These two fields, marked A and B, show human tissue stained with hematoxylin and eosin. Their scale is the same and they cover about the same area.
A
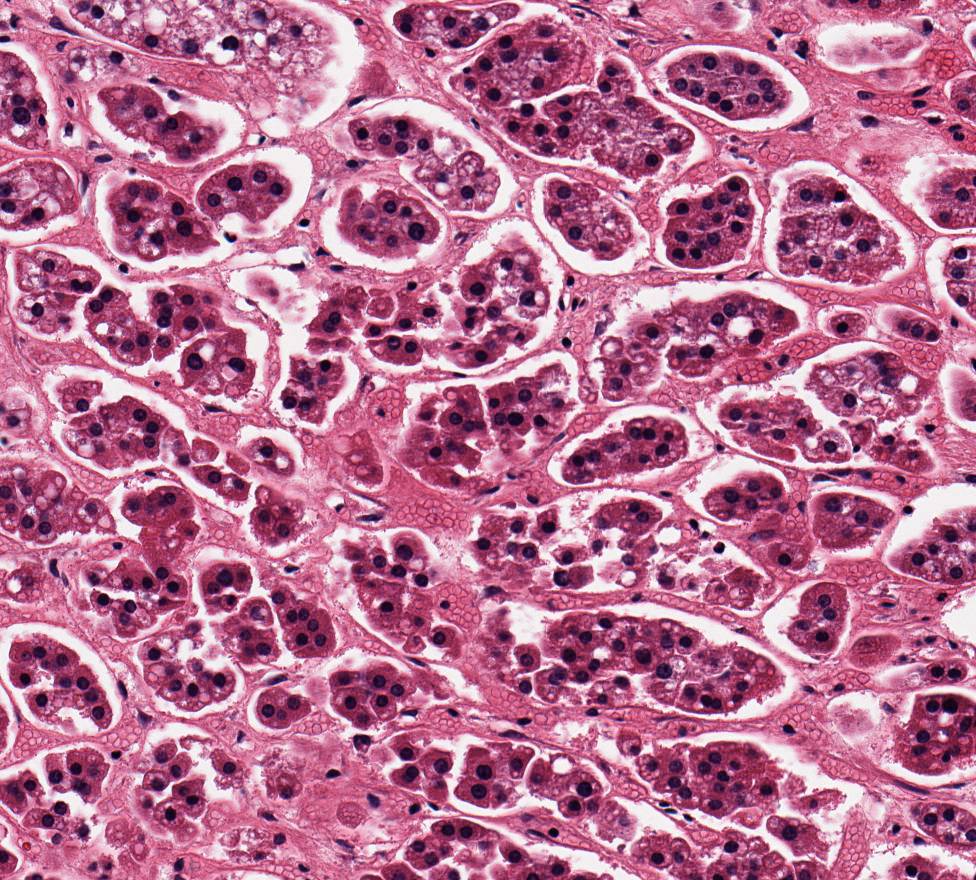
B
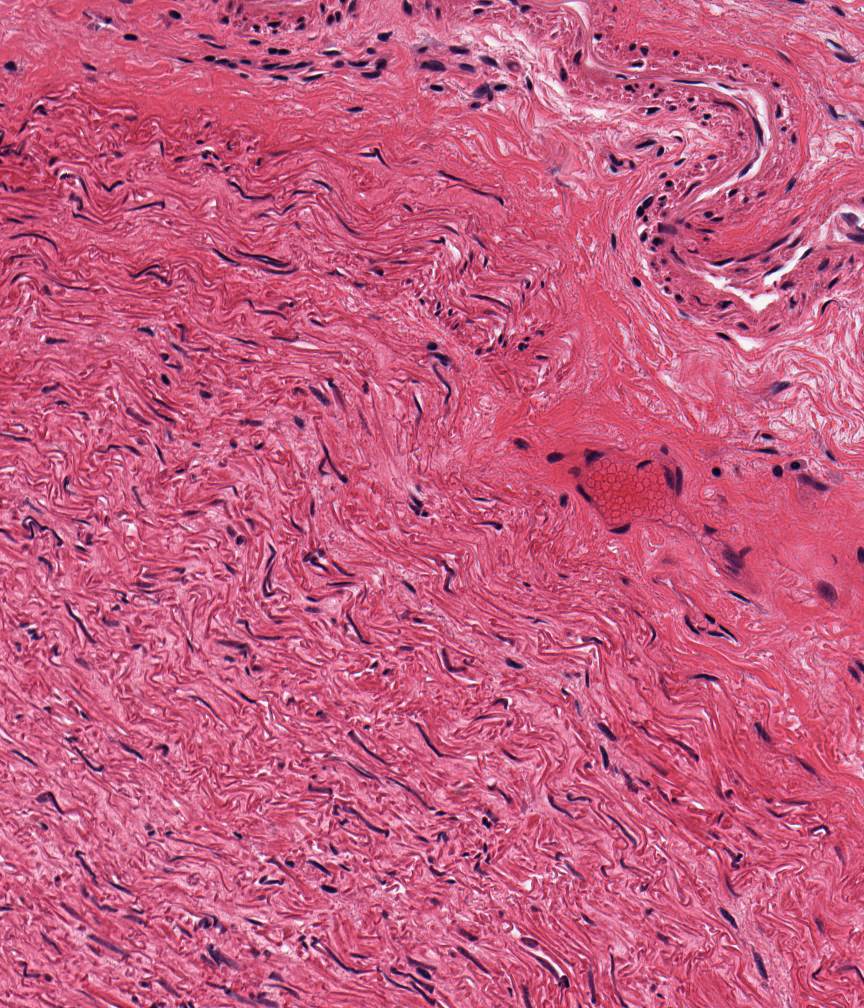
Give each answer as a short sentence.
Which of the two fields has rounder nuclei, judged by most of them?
Rounder nuclei lie in picture A.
